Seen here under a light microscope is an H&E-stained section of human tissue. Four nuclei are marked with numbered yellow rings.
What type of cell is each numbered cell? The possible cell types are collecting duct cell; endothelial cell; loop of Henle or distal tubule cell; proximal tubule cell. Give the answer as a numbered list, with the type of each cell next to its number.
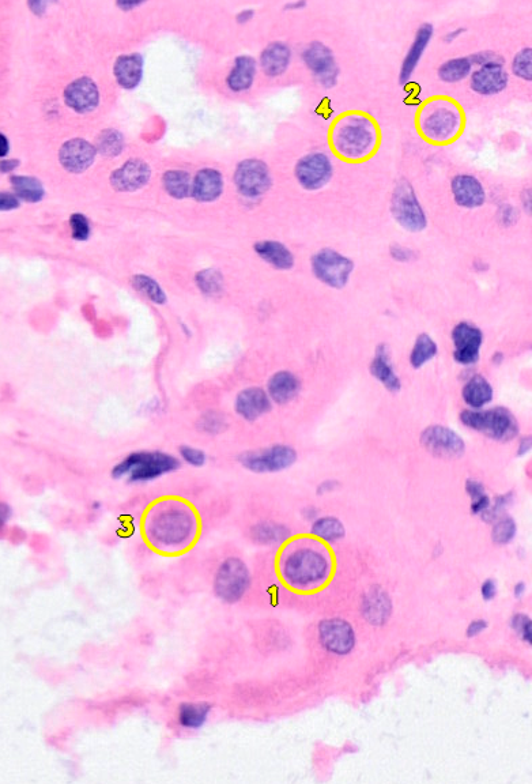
1. proximal tubule cell
2. loop of Henle or distal tubule cell
3. proximal tubule cell
4. loop of Henle or distal tubule cell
